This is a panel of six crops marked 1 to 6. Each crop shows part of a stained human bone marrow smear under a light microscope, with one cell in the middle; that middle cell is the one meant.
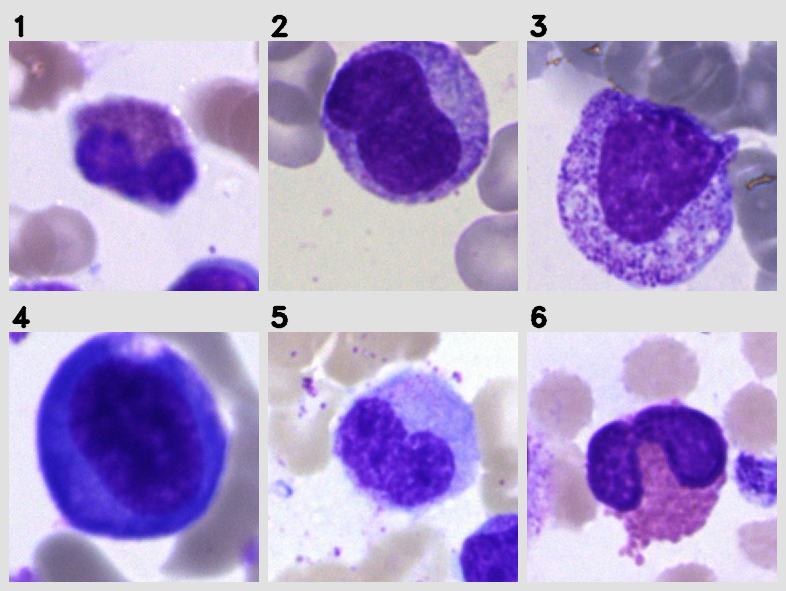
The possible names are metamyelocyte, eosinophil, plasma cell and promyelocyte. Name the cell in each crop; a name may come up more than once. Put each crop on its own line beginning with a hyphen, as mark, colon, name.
- 1: eosinophil
- 2: metamyelocyte
- 3: promyelocyte
- 4: plasma cell
- 5: metamyelocyte
- 6: eosinophil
